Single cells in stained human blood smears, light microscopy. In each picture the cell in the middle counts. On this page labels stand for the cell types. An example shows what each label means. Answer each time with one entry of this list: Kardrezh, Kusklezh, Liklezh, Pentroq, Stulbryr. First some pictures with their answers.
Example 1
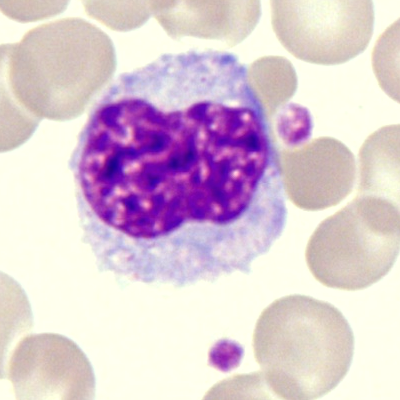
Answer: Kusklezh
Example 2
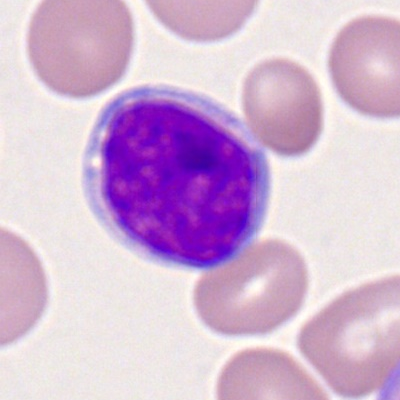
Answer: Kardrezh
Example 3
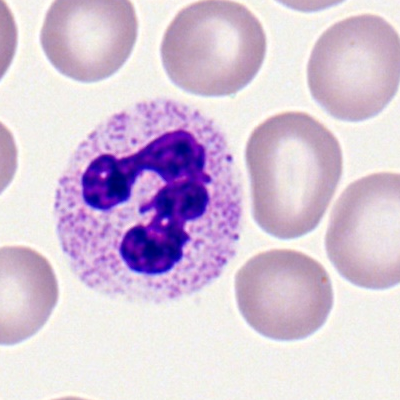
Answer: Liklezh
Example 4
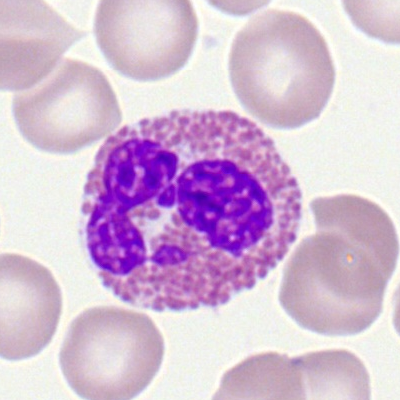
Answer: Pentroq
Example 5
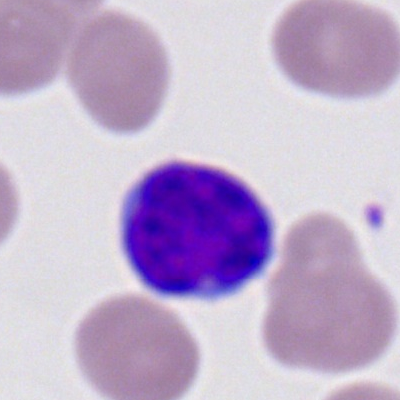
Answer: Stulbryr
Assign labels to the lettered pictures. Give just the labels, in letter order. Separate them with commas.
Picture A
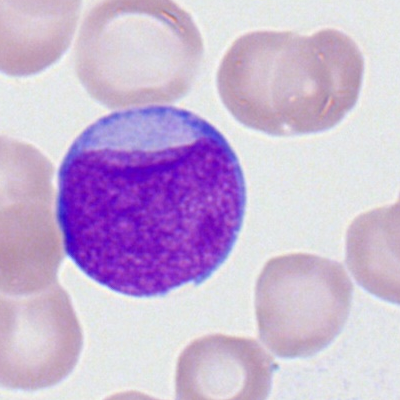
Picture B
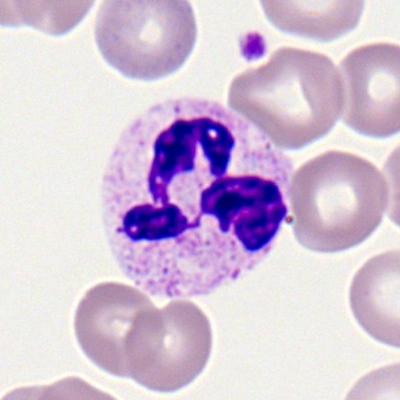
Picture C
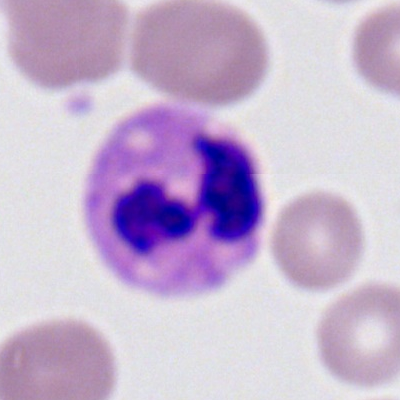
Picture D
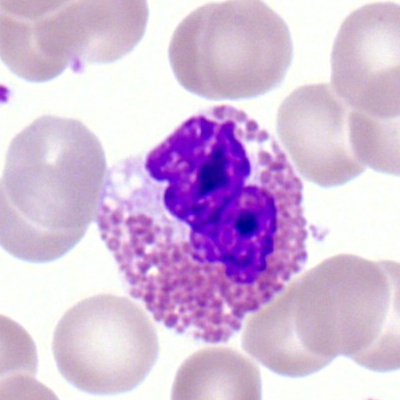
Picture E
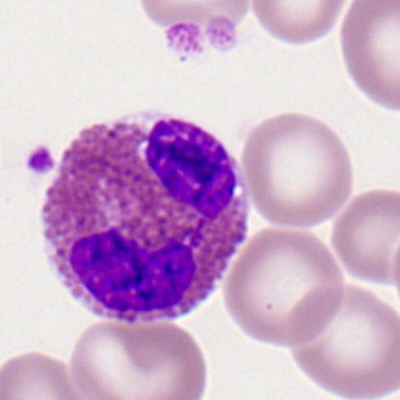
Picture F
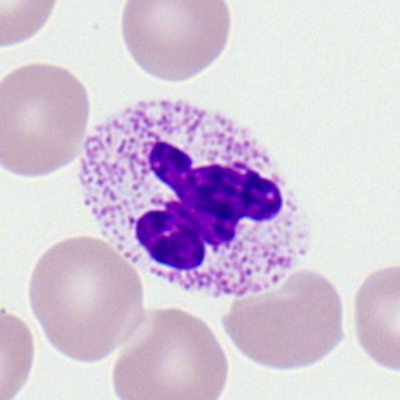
Kardrezh, Liklezh, Liklezh, Pentroq, Pentroq, Liklezh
